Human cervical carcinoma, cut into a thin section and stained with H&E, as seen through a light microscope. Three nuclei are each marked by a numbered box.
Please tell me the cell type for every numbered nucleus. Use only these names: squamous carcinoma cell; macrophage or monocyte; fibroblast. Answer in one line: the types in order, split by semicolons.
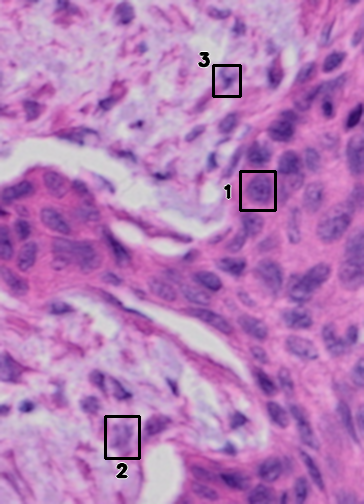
squamous carcinoma cell; fibroblast; fibroblast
